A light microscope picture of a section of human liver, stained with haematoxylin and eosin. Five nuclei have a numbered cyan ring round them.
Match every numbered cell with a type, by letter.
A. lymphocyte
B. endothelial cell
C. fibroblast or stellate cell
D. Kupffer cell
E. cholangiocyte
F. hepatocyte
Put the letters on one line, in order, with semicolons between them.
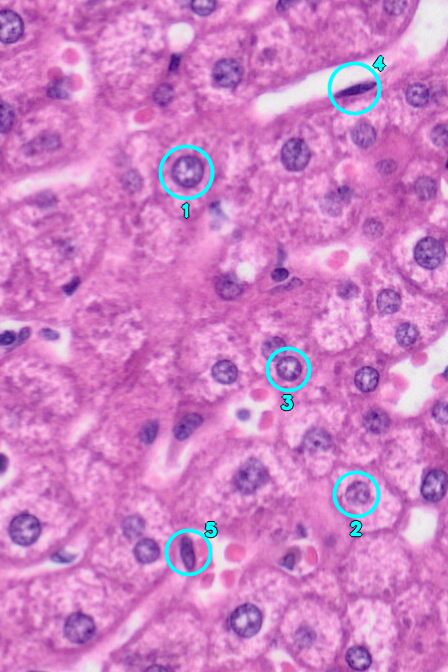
F; F; F; D; D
